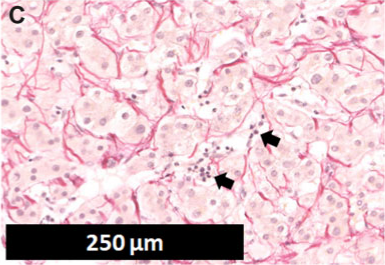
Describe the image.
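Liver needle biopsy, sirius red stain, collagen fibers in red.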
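The hepatocytes are pale, large and polygonal, with round, grey-stained nuclei. Near the center there are clusters of small, dark, round nuclei among the hepatocytes.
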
